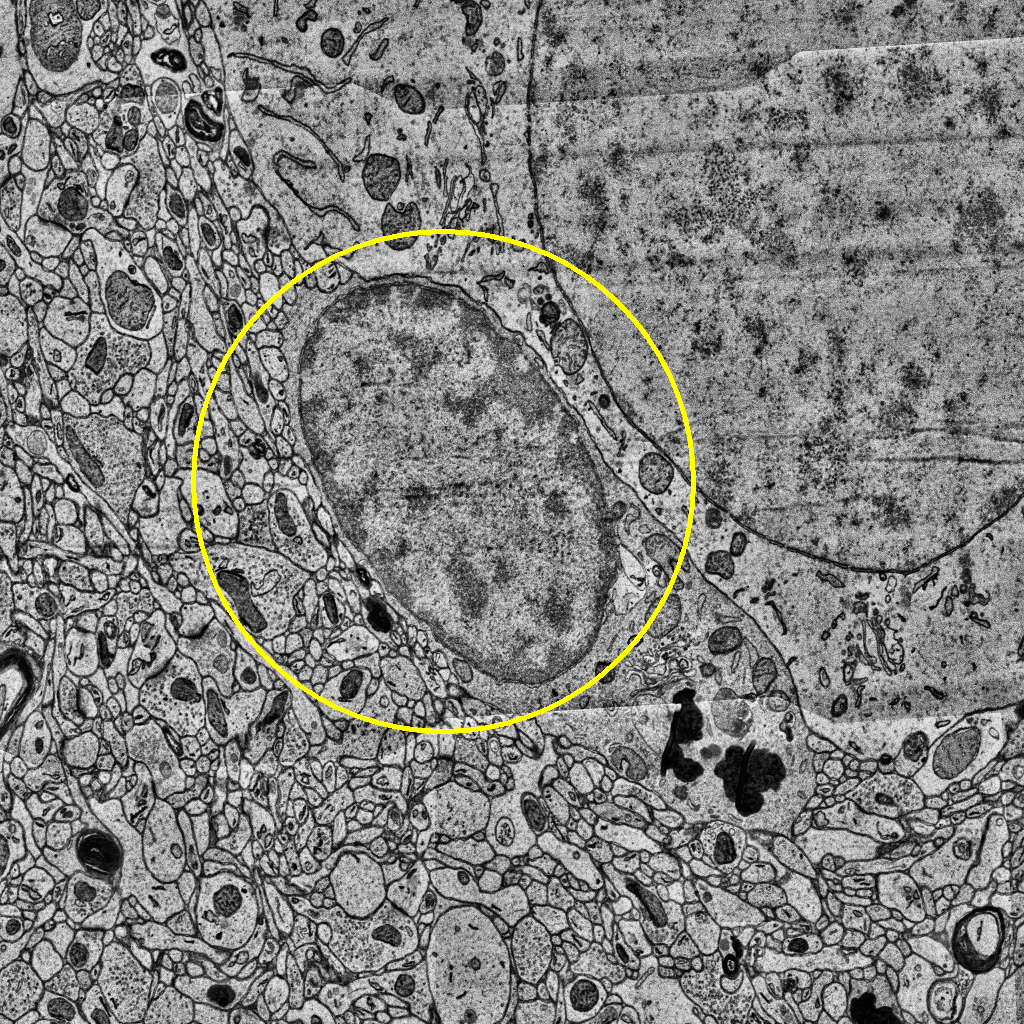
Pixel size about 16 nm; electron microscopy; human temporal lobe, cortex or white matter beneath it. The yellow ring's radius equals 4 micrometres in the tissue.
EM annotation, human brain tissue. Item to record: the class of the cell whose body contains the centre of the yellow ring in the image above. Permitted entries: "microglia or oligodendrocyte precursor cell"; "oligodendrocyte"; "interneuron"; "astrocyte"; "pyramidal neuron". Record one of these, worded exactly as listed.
oligodendrocyte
